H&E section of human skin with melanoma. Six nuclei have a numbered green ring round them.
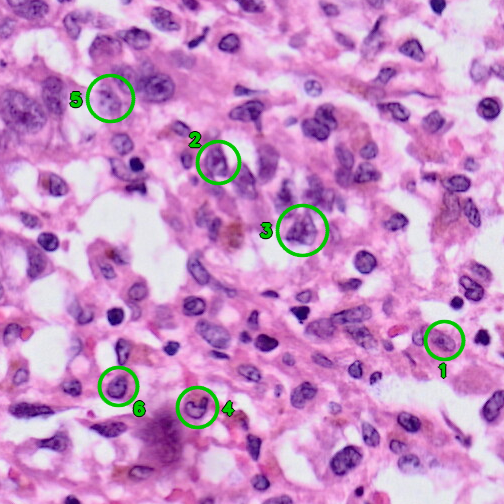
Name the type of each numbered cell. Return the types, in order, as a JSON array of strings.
["macrophage or monocyte", "melanoma cell", "melanoma cell", "macrophage or monocyte", "melanoma cell", "macrophage or monocyte"]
